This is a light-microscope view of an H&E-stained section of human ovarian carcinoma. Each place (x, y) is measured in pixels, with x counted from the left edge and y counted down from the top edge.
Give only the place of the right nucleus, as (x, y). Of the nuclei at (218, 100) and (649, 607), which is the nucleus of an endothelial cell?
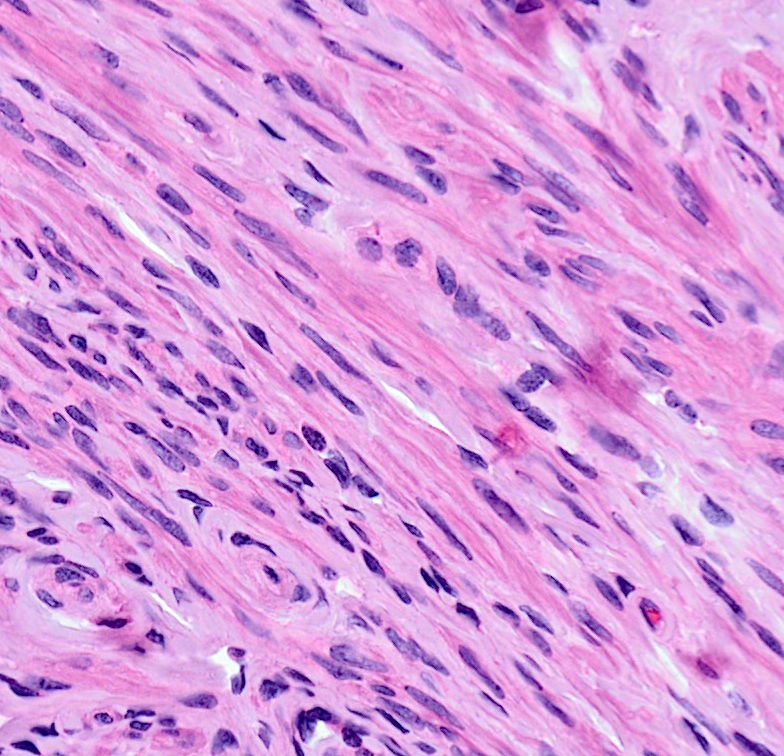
(649, 607)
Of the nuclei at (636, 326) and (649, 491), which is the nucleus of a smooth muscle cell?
(636, 326)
